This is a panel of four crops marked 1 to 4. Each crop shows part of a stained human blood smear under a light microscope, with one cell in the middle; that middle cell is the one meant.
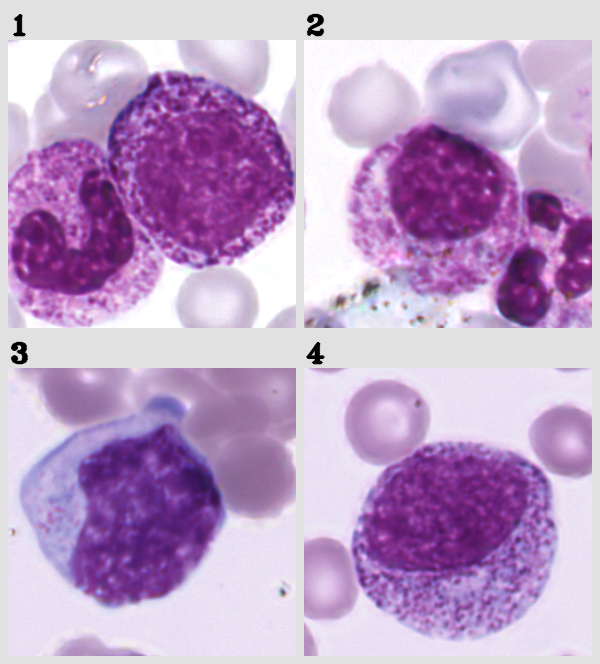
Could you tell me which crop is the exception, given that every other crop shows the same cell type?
2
